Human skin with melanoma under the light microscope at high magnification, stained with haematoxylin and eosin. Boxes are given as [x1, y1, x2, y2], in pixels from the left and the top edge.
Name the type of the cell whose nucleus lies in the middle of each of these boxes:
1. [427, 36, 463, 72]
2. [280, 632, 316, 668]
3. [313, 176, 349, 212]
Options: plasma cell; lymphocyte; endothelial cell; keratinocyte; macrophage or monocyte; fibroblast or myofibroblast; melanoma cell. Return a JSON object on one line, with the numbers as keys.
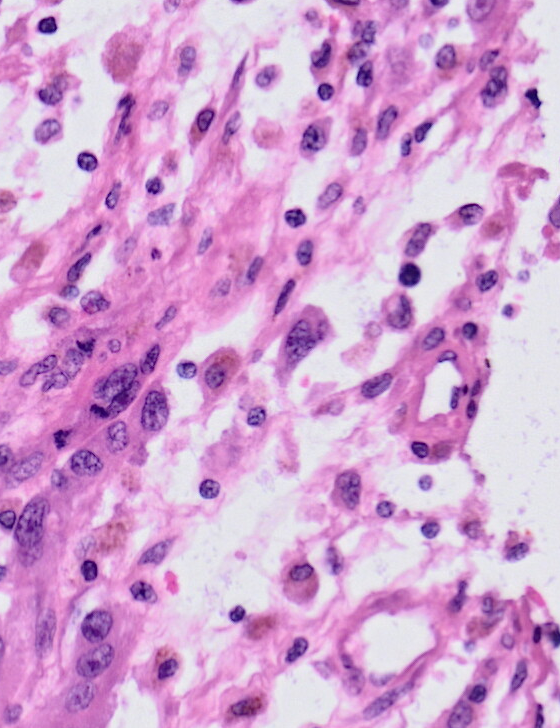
{"1": "macrophage or monocyte", "2": "lymphocyte", "3": "macrophage or monocyte"}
